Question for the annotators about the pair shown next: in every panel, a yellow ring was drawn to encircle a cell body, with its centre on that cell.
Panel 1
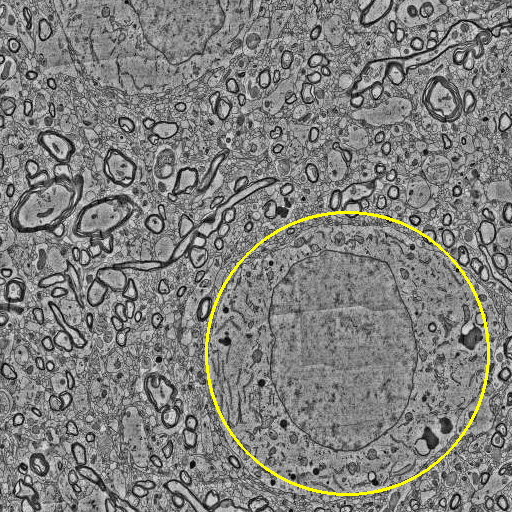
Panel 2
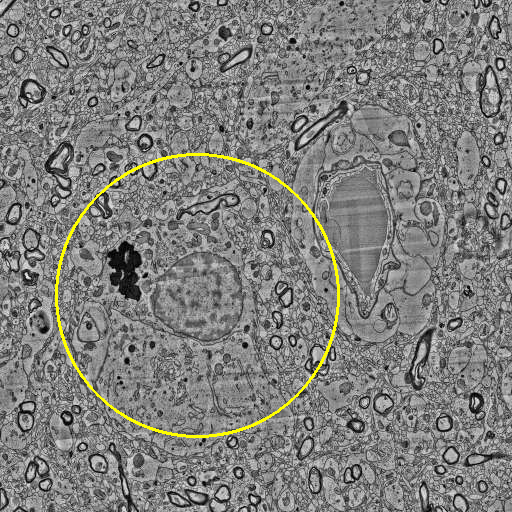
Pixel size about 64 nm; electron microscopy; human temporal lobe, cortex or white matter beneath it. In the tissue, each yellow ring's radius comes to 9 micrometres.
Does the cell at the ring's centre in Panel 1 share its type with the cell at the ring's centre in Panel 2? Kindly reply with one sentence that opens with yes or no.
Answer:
No, in Panels 1 and 2 the cells at the ring centres belong to separate types.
